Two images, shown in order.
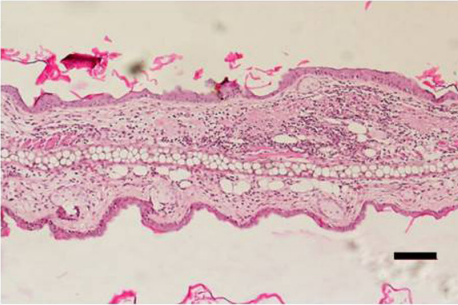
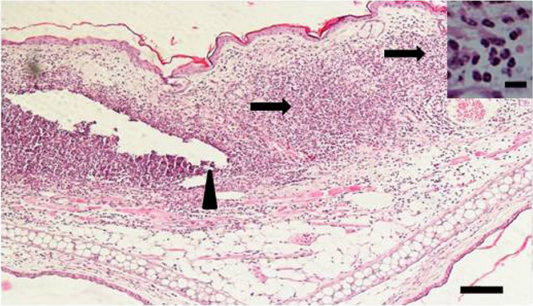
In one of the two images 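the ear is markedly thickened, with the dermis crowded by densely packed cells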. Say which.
The second image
